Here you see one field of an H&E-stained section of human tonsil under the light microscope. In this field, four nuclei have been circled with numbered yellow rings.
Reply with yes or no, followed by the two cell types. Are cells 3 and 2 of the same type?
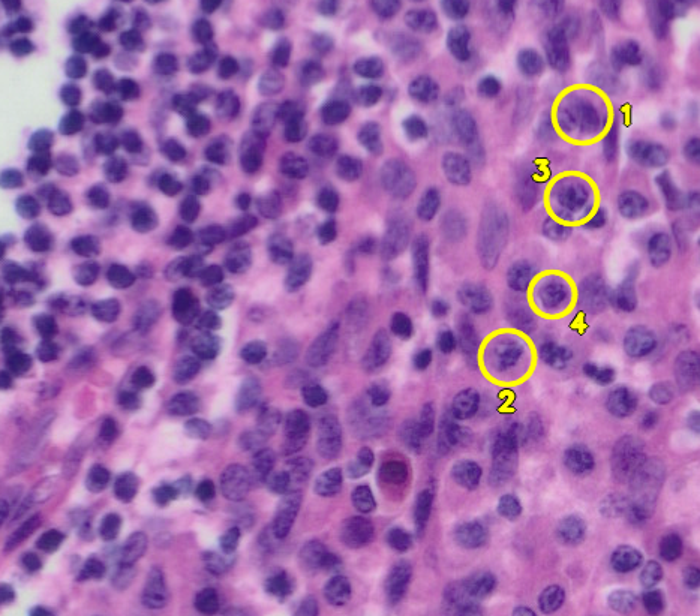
Yes, cells 3 and 2 are both to be classed as plasma cells.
